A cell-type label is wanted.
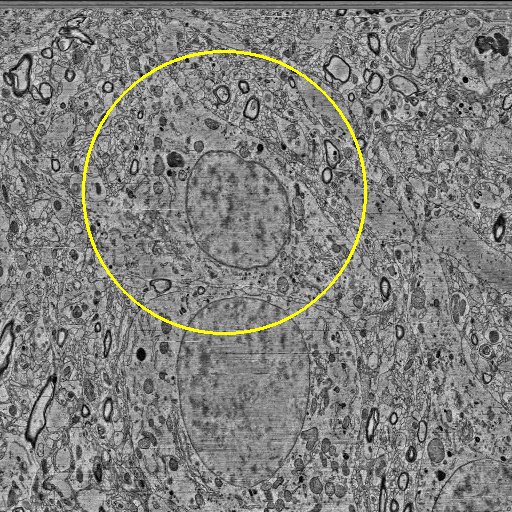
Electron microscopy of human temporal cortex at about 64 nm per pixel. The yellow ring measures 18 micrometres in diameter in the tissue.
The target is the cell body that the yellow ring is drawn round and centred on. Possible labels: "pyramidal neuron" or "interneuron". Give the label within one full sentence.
Of the labels offered, the cell in the middle of the yellow ring is a pyramidal neuron.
